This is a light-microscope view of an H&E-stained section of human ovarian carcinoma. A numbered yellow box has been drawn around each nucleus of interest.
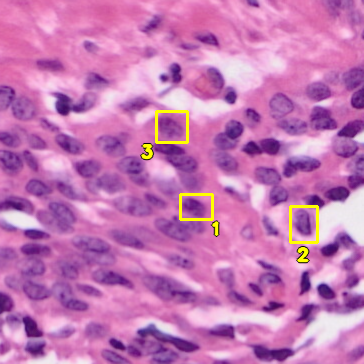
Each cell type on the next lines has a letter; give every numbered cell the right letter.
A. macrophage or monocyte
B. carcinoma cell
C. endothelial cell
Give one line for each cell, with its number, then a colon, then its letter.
1: B
2: A
3: B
